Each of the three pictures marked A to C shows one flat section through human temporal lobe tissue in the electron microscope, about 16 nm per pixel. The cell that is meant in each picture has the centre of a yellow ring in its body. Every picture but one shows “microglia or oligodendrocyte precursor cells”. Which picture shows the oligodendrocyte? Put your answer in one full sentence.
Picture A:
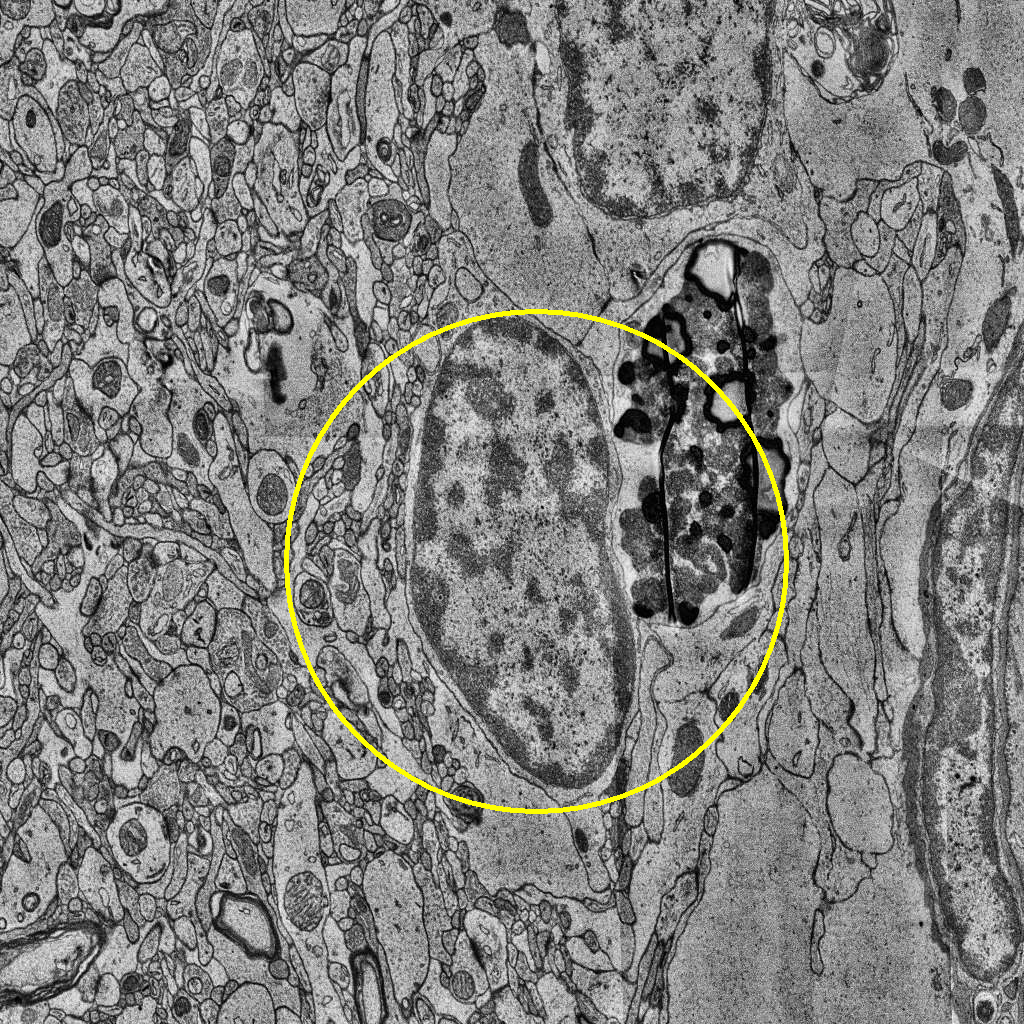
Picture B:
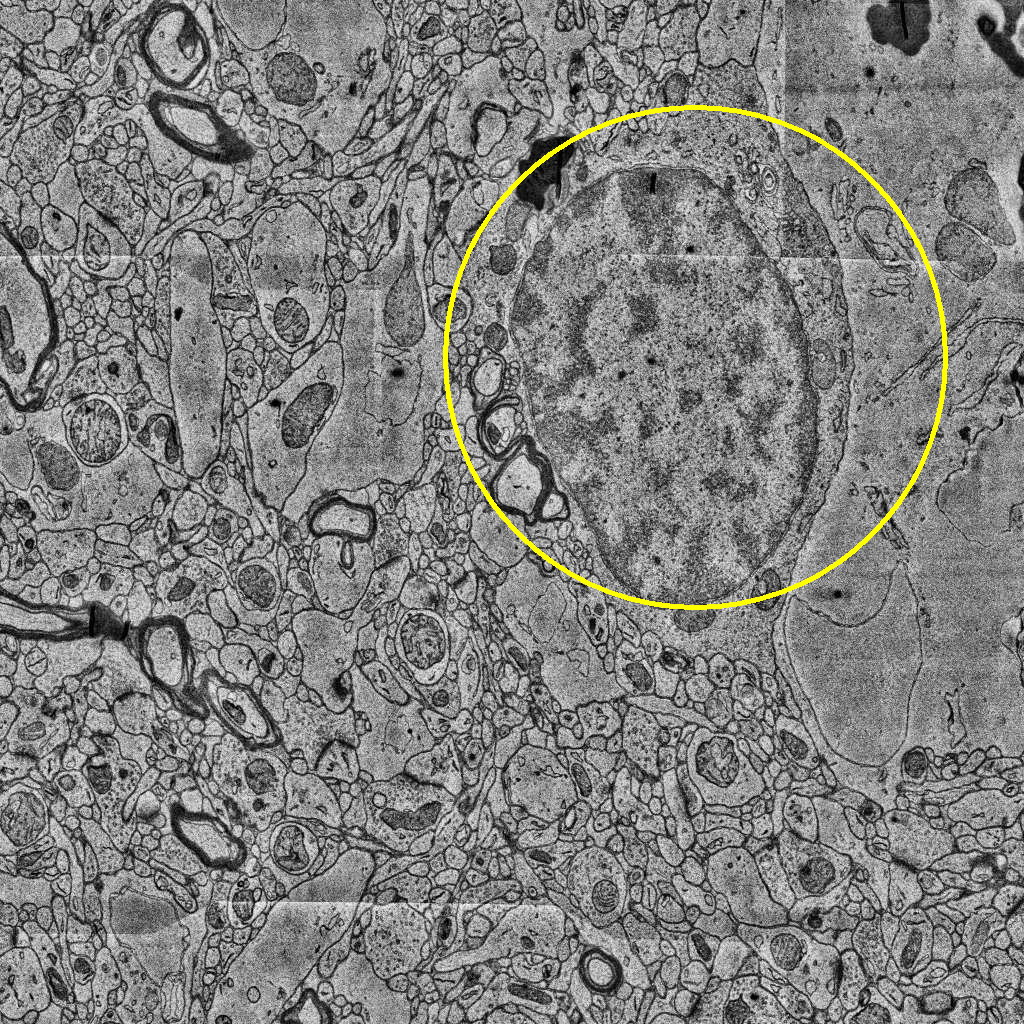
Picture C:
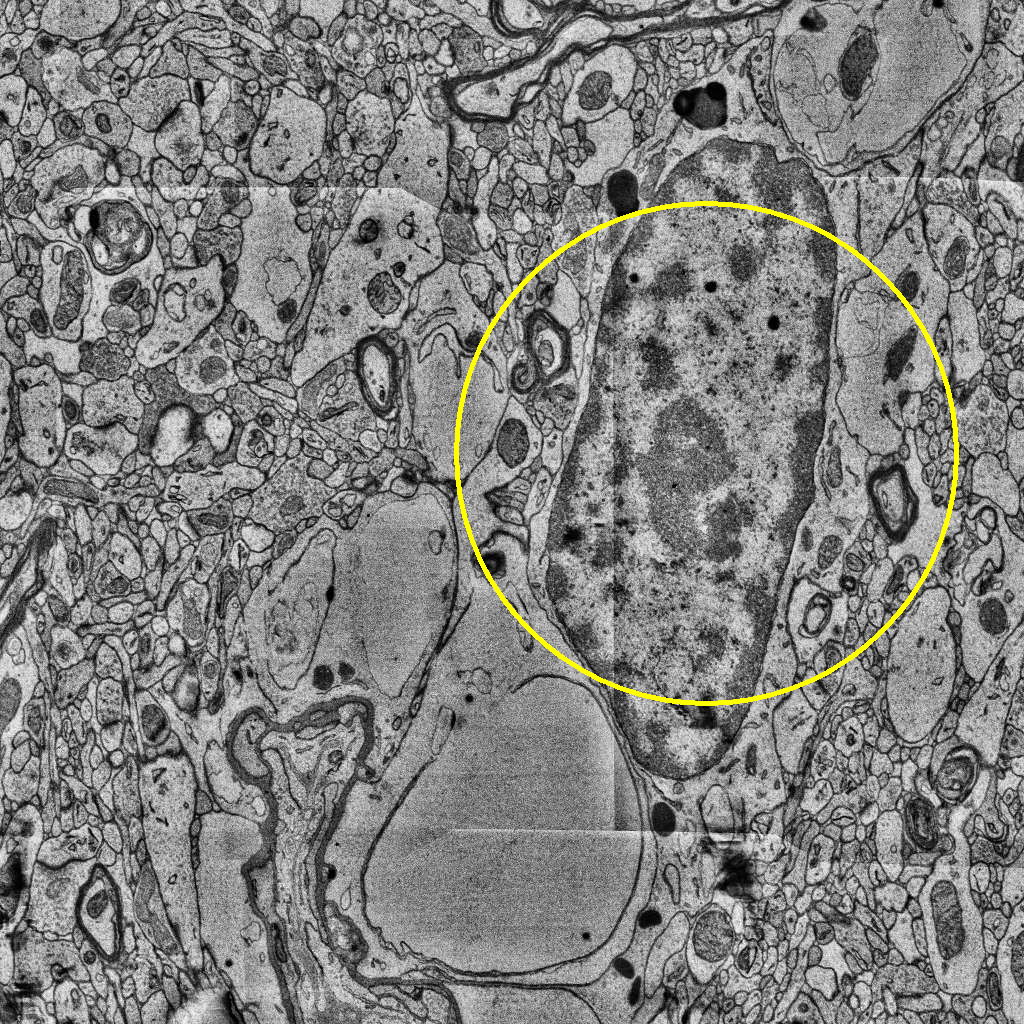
It is picture B that shows the oligodendrocyte.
